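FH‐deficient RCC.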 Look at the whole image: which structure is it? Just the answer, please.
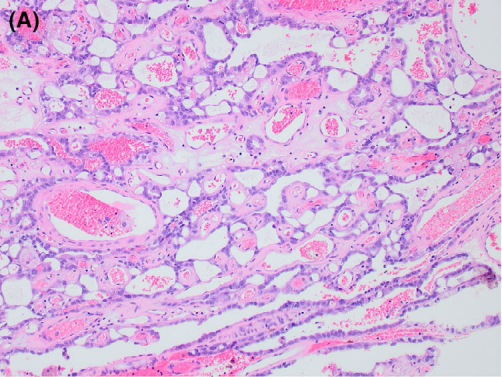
Tubulocystic and papillary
